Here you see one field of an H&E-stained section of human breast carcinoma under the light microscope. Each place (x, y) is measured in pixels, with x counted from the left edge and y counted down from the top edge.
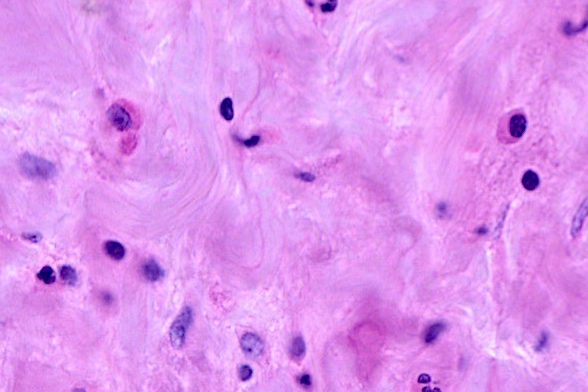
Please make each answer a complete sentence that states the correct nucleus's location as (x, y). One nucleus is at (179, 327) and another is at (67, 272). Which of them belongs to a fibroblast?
The nucleus belonging to a fibroblast is the one at (179, 327).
